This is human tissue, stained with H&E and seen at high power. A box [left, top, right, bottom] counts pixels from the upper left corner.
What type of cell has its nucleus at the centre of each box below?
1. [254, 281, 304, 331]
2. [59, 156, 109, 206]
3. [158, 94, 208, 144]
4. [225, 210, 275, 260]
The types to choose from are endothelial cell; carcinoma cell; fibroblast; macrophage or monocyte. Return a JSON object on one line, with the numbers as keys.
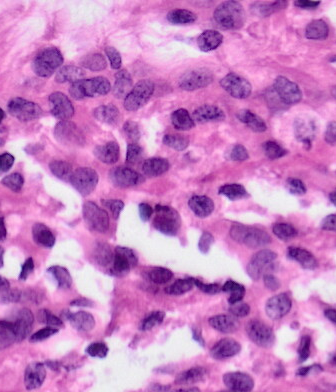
{"1": "macrophage or monocyte", "2": "carcinoma cell", "3": "carcinoma cell", "4": "carcinoma cell"}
